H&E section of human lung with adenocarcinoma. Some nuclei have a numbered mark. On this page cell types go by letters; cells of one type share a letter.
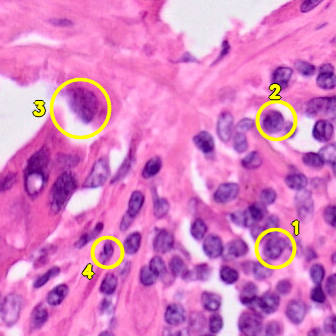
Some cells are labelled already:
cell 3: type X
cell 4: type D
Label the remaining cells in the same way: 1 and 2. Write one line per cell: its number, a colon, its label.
1: type D
2: type D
